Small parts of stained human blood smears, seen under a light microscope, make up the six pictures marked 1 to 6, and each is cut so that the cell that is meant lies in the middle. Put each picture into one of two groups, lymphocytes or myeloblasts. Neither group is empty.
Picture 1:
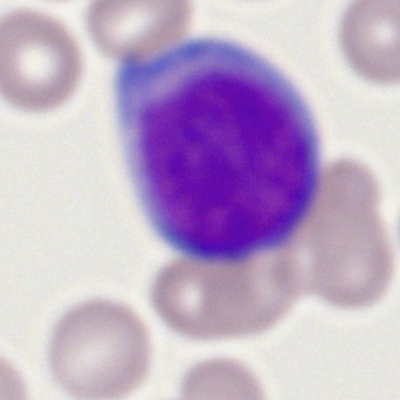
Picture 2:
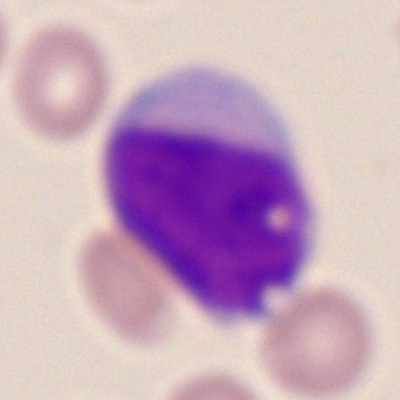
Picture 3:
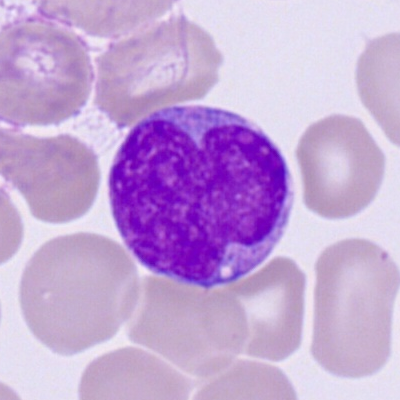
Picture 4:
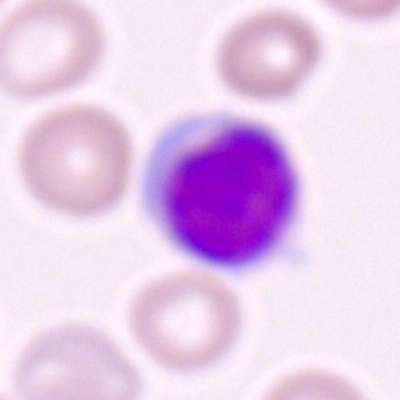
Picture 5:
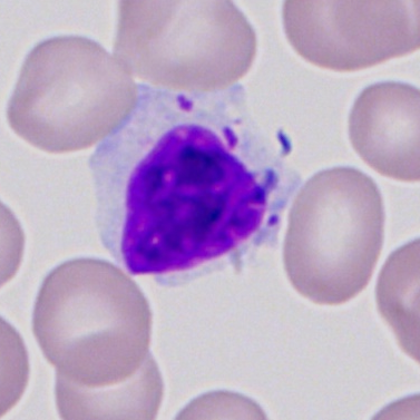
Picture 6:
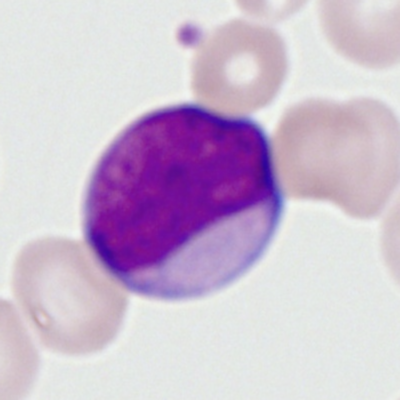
1: myeloblast
2: myeloblast
3: myeloblast
4: lymphocyte
5: lymphocyte
6: myeloblast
